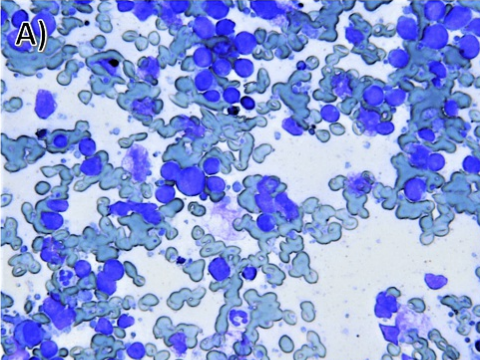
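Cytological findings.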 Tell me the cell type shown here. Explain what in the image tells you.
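Atypical lymphoid cells. Many dispersed round cells with dark blue nuclei. The cells have only a thin rim of cytoplasm. Cells lie singly, not in cohesive groups.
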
